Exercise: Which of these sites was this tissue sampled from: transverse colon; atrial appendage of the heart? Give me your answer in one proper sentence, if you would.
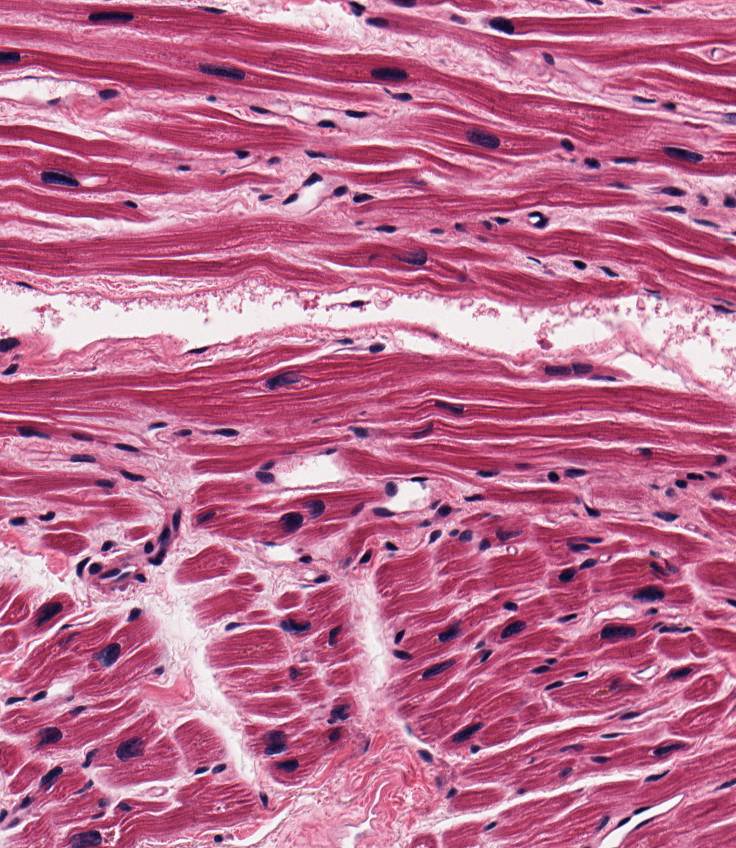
The sample of tissue came from the atrial appendage of the heart.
